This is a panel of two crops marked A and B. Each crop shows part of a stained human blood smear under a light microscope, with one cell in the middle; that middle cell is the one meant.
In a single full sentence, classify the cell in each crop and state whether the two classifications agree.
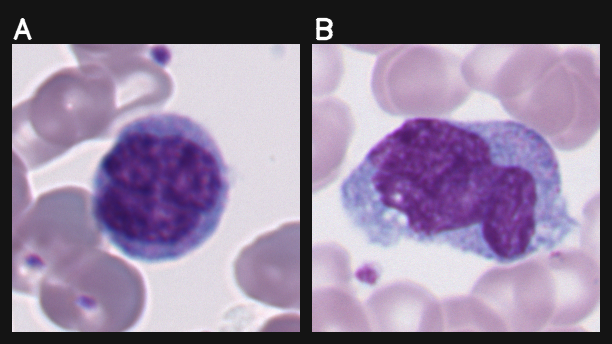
Yes, both crops feature monocytes at the centre.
